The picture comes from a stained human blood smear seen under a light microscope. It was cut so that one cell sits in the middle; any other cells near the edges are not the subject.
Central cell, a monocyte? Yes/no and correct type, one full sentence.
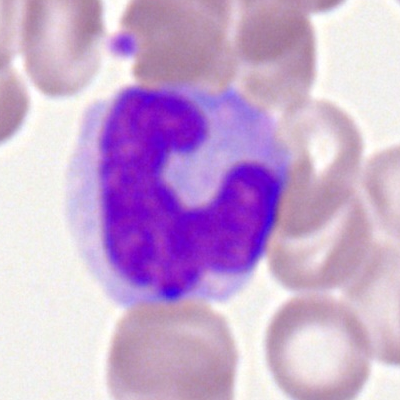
Yes, the cell at the centre of this crop is identified as a monocyte.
